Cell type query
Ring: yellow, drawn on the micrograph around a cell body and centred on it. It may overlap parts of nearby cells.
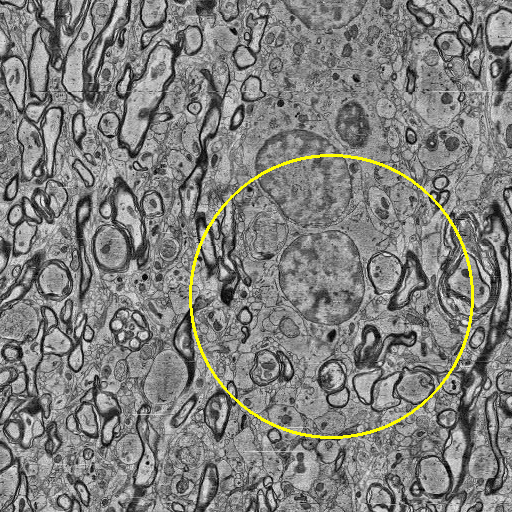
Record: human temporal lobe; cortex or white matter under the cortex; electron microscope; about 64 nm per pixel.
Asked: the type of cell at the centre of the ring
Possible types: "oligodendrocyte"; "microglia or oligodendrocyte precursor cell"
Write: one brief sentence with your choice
The ring marks a microglial cell or oligodendrocyte precursor cell.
